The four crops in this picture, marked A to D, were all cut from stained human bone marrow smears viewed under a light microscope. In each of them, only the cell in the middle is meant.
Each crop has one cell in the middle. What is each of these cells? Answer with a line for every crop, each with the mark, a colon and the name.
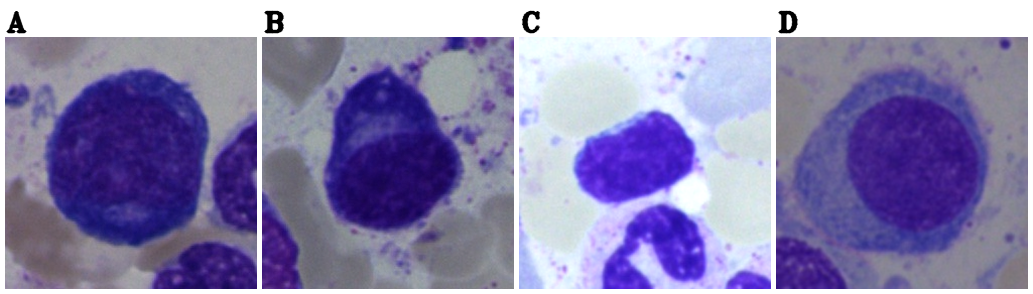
A: proerythroblast
B: plasma cell
C: lymphocyte
D: plasma cell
